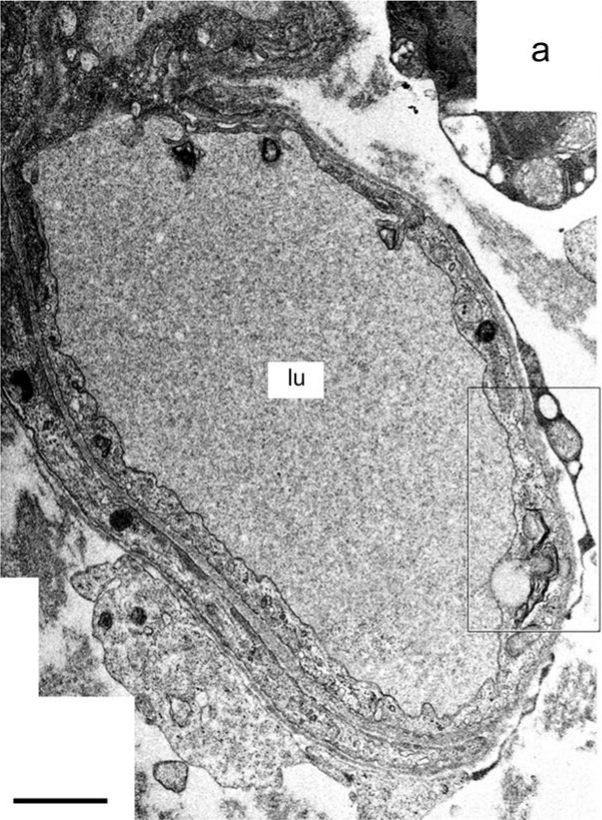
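This is a low magnification view of a capillary in connective tissue stroma, cut in cross section. A large oval lumen filled with finely granular material is lined by thin, flattened vascular endothelial cells forming a continuous wall. Around the endothelium lie thin layered cell processes and basement membrane, with small dark dense bodies scattered in the wall. Outside the vessel the surrounding extracellular matrix is pale and loose with clear spaces, and parts of neighbouring cells are seen at the edges.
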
